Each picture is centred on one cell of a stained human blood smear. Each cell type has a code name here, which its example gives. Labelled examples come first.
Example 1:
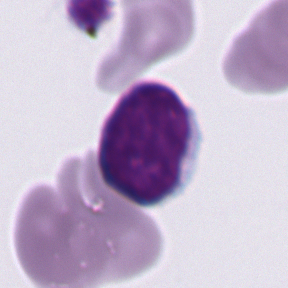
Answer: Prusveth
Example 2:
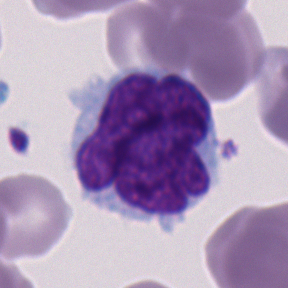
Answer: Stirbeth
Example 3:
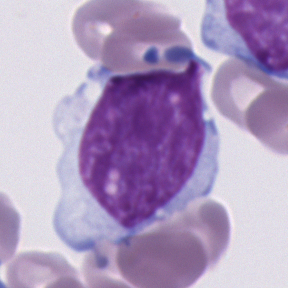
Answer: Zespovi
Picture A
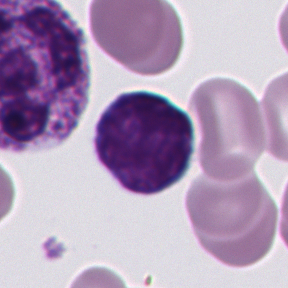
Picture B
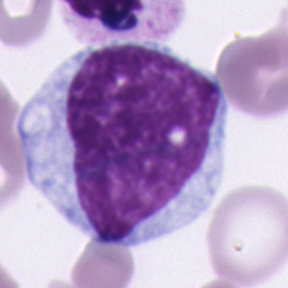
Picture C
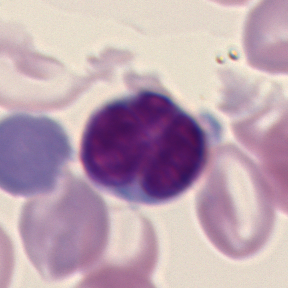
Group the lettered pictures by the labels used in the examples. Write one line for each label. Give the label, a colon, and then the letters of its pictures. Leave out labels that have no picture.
Prusveth: A, C
Stirbeth: B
